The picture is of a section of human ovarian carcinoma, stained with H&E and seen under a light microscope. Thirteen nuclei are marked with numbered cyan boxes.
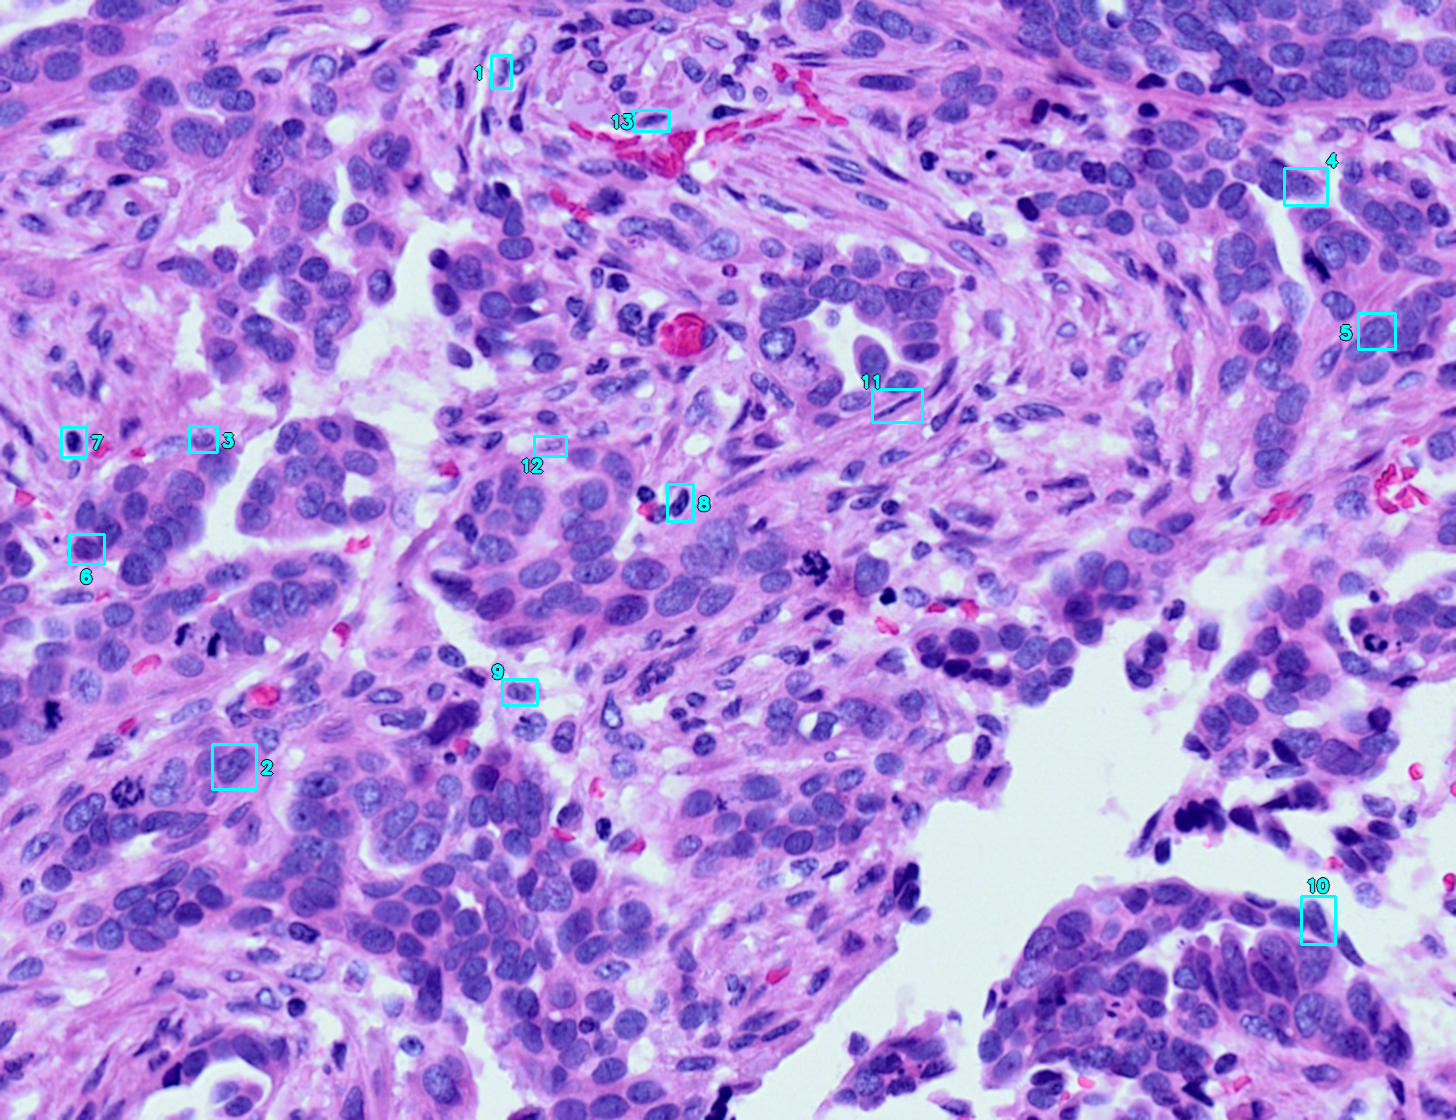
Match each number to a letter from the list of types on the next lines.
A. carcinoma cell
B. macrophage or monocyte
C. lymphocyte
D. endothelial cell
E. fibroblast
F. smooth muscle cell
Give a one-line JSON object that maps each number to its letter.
{"1": "E", "2": "A", "3": "B", "4": "A", "5": "A", "6": "A", "7": "C", "8": "C", "9": "B", "10": "A", "11": "E", "12": "E", "13": "E"}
